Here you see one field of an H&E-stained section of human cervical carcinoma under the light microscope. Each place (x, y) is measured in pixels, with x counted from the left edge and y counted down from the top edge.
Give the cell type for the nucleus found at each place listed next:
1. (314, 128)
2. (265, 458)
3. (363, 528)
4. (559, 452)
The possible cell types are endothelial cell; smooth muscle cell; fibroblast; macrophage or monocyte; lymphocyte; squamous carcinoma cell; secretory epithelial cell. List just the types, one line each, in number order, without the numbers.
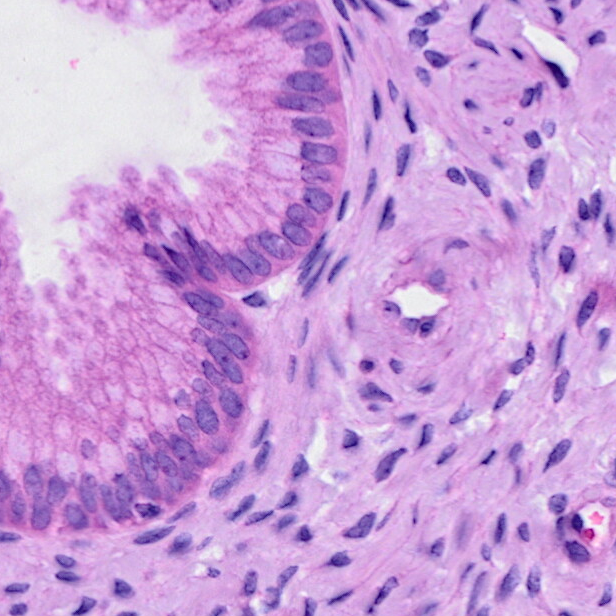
secretory epithelial cell
fibroblast
fibroblast
fibroblast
